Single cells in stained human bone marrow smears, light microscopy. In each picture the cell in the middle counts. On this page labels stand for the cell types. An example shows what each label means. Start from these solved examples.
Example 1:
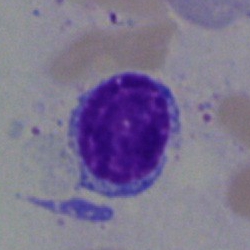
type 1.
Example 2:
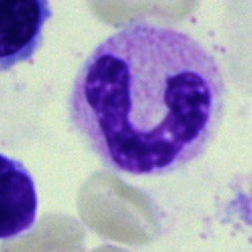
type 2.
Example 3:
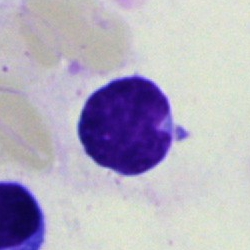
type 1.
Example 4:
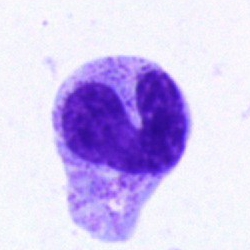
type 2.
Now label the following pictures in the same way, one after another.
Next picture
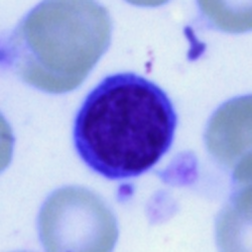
type 1.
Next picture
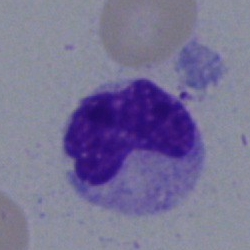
type 2.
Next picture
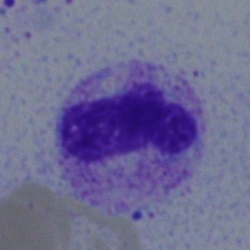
type 2.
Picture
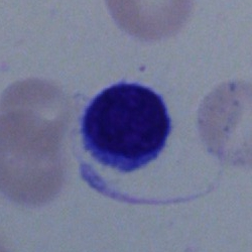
type 1.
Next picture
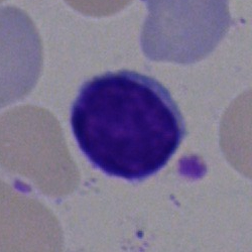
type 1.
